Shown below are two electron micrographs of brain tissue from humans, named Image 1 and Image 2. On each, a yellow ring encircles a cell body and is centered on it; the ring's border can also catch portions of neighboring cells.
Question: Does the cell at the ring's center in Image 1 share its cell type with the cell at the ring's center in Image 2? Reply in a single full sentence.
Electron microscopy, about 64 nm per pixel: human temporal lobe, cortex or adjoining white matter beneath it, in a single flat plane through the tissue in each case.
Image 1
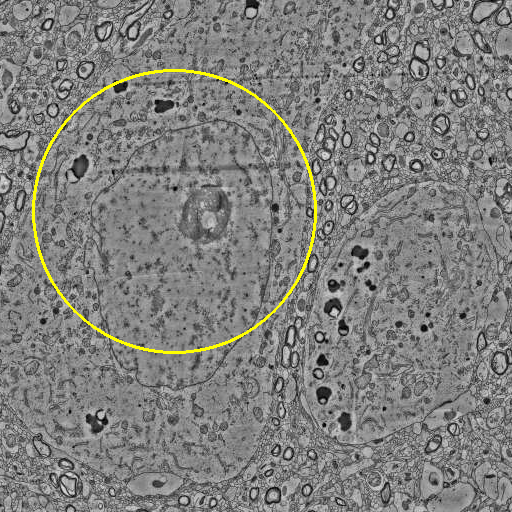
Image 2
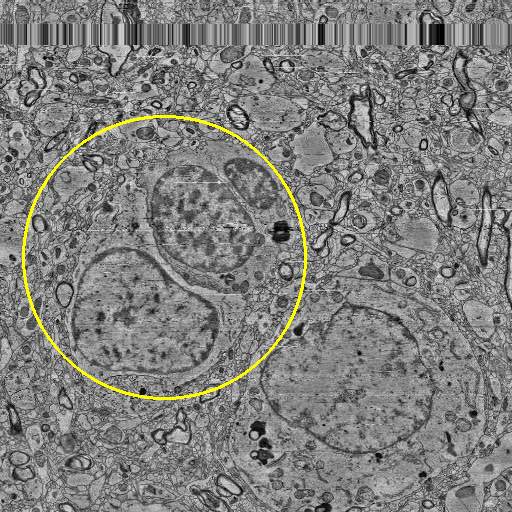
No, the two cells at the ring centers, in Image 1 and Image 2, are of two cell types.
